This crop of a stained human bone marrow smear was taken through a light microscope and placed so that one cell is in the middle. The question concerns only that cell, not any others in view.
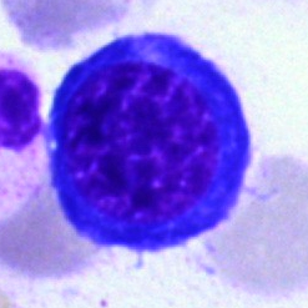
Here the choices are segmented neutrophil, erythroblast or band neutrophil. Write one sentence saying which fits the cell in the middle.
In short, the cell at the center is an erythroblast.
